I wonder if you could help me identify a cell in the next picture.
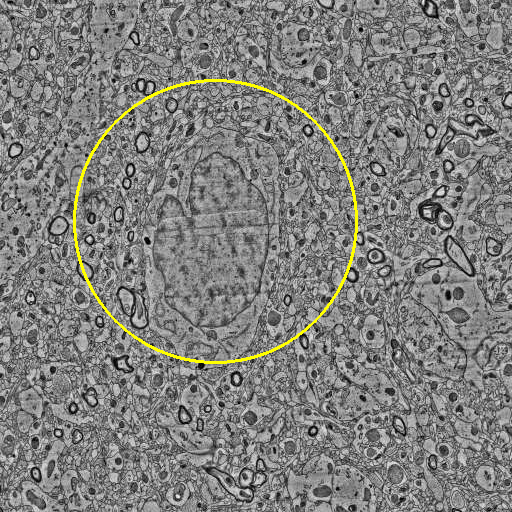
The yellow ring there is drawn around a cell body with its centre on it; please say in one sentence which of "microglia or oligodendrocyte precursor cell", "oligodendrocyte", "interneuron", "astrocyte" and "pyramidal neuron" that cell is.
The yellow ring is centred on an interneuron.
